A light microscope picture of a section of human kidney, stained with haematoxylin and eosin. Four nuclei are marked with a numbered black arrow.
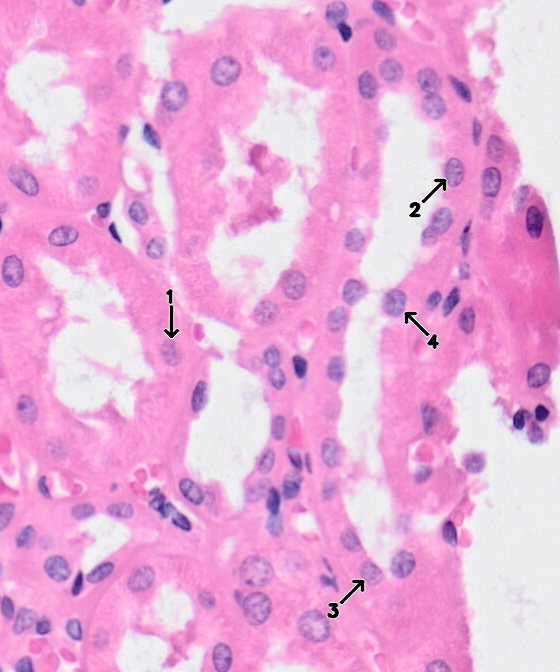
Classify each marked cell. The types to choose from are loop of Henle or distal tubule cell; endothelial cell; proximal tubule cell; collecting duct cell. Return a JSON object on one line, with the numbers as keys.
{"1": "proximal tubule cell", "2": "loop of Henle or distal tubule cell", "3": "loop of Henle or distal tubule cell", "4": "loop of Henle or distal tubule cell"}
